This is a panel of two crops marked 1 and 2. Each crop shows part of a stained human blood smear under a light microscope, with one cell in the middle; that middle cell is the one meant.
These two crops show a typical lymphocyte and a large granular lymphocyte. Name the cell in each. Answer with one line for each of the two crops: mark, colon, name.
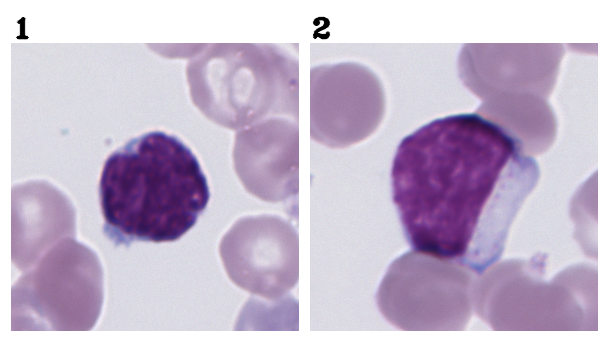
1: typical lymphocyte
2: large granular lymphocyte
